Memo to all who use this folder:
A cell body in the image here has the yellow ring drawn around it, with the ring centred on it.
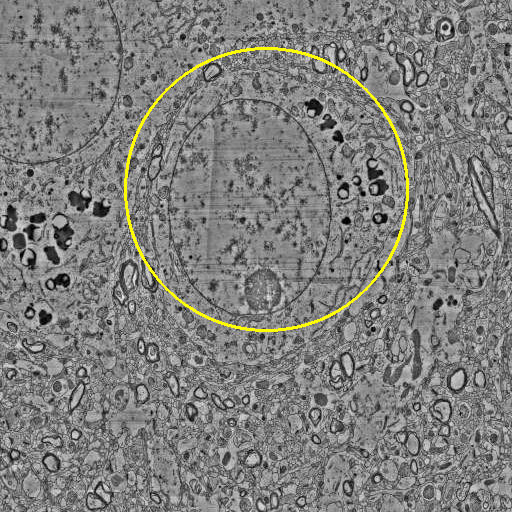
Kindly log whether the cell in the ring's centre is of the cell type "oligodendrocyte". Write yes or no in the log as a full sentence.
No, logged: the ring in this image is centred on a cell of a different type.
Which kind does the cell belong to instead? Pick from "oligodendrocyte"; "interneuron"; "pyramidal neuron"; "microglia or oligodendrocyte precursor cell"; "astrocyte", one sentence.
It is a pyramidal neuron that the ring is centred on.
